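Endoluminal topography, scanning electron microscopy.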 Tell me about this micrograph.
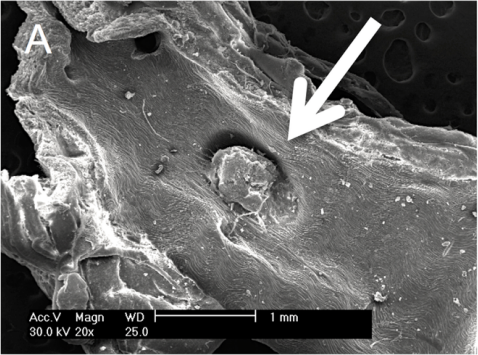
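The surface is covered by fine, roughly parallel streaks that run along its length. Near the middle, a rounded, irregular lump of material sits within a dark, crater-like depression of the wall. Crumpled, torn tissue edges frame the specimen on the left and at the top. Small scattered particles of debris lie on the surface, and the perforated support on which the specimen rests shows in the background.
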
